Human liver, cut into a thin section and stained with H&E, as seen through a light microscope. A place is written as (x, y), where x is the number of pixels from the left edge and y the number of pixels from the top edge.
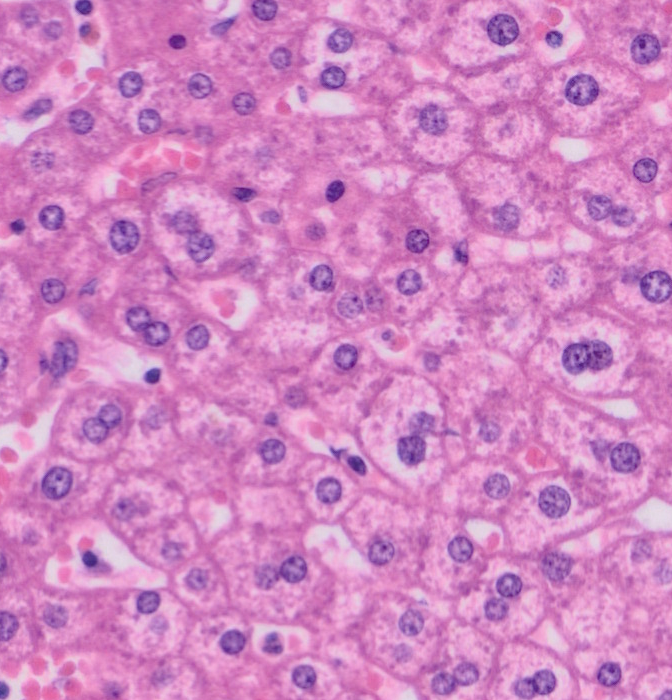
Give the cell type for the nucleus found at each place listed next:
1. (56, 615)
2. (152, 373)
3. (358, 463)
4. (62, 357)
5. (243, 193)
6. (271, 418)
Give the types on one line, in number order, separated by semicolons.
hepatocyte; lymphocyte; lymphocyte; Kupffer cell; fibroblast or stellate cell; fibroblast or stellate cell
